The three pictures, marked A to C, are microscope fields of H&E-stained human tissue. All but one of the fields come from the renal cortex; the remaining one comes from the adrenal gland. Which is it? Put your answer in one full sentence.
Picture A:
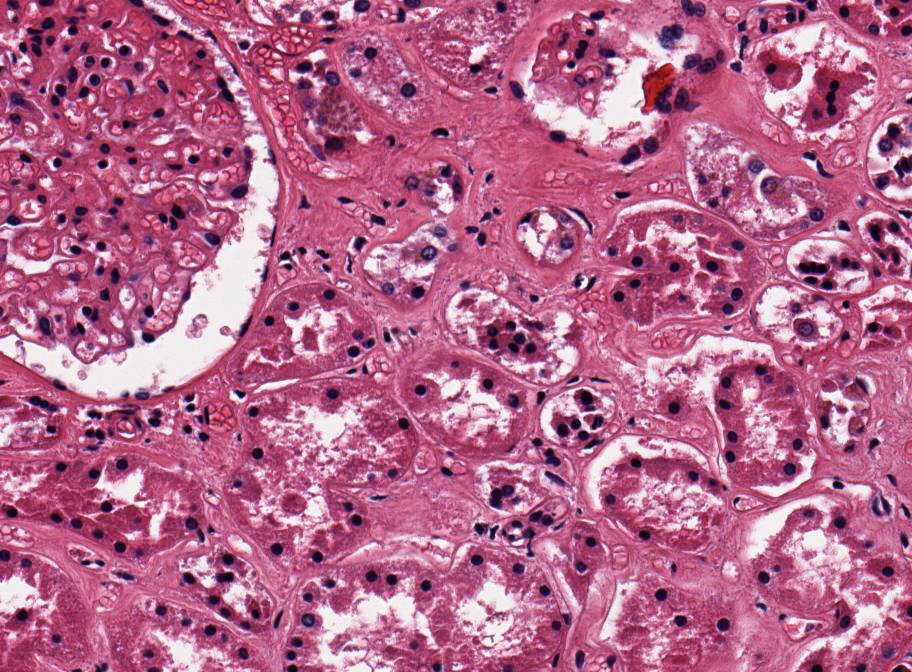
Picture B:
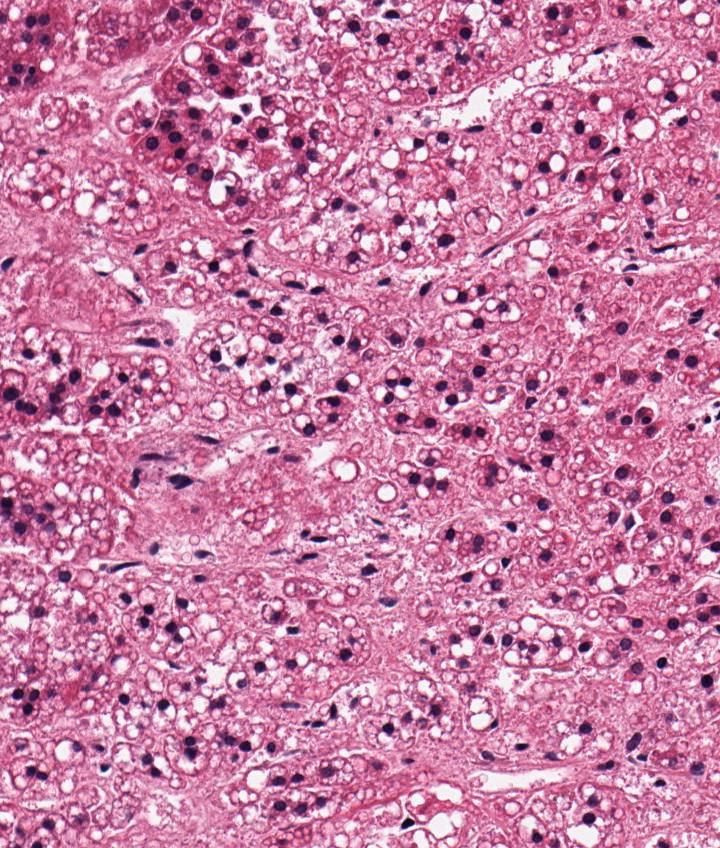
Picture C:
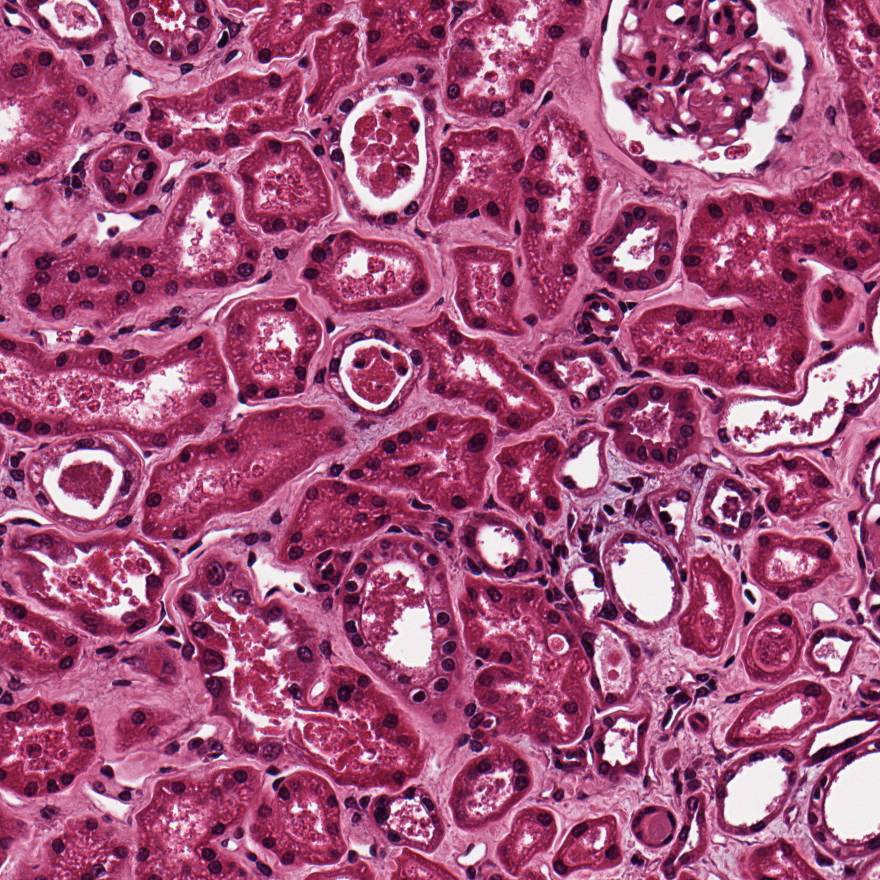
Picture B is the field that comes from the adrenal gland.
